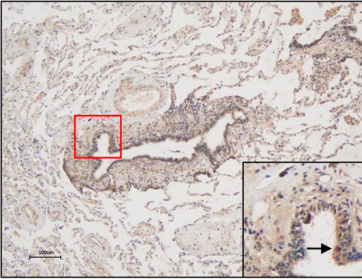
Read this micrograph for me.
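Lung tissue with an elongated airway lined by bronchial epithelium, surrounded by alveolar parenchyma with thin septa and open air spaces. The epithelial lining and the wall beneath it are stained a distinct brown. In the magnified inset the lining cells form a row with blue nuclei and brown cytoplasm. The alveolar septa carry weaker brown staining. A blood vessel lies near the airway.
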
